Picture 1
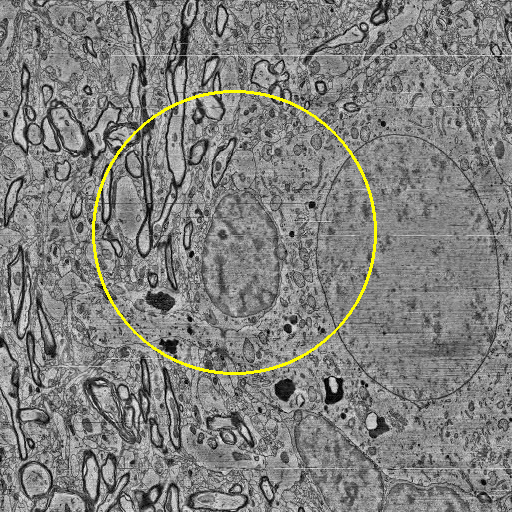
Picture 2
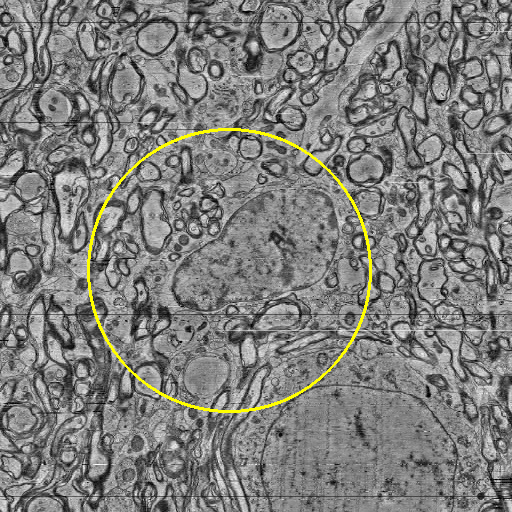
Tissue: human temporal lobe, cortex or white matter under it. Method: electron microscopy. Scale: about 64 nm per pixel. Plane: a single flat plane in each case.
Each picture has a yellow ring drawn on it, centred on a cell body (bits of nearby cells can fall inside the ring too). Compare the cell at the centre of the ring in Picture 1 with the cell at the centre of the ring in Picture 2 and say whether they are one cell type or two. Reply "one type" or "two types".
two types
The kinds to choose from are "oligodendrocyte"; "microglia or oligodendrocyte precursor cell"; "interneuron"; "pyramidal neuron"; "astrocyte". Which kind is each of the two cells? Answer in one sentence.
Of the two, the first cell is an oligodendrocyte and the second cell is a microglial cell or oligodendrocyte precursor cell.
